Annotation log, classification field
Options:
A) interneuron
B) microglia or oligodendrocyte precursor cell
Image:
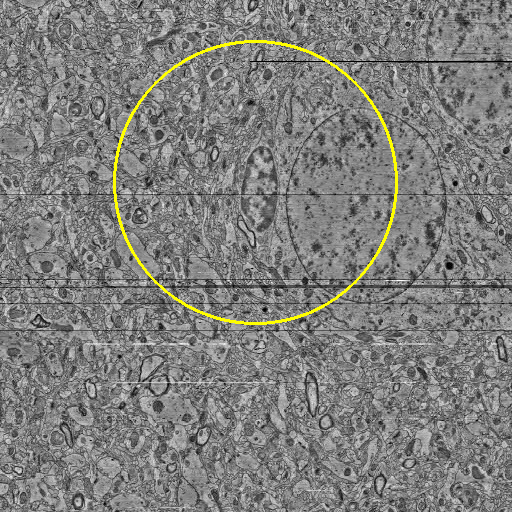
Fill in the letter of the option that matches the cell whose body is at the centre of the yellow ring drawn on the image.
B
